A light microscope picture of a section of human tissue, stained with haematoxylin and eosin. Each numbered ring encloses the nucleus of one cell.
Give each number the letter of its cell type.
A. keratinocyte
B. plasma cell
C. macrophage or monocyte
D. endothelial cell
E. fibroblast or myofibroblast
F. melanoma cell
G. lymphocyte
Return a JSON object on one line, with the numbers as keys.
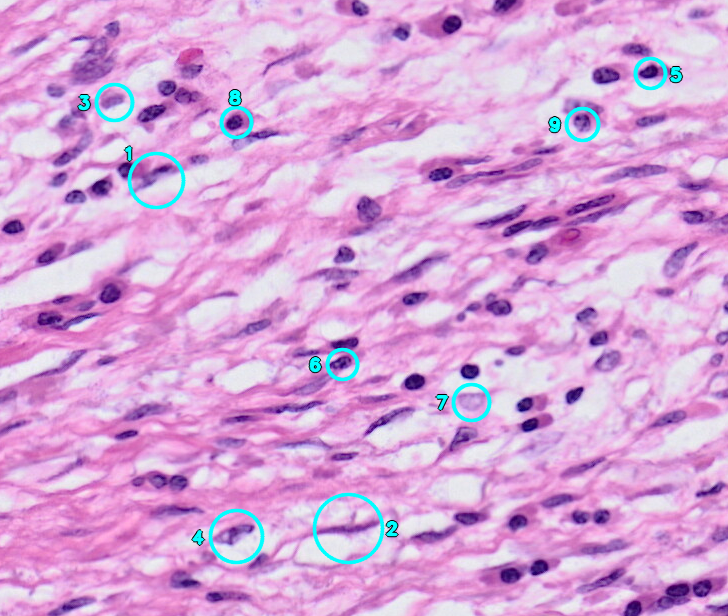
{"1": "E", "2": "E", "3": "E", "4": "E", "5": "B", "6": "B", "7": "E", "8": "B", "9": "B"}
